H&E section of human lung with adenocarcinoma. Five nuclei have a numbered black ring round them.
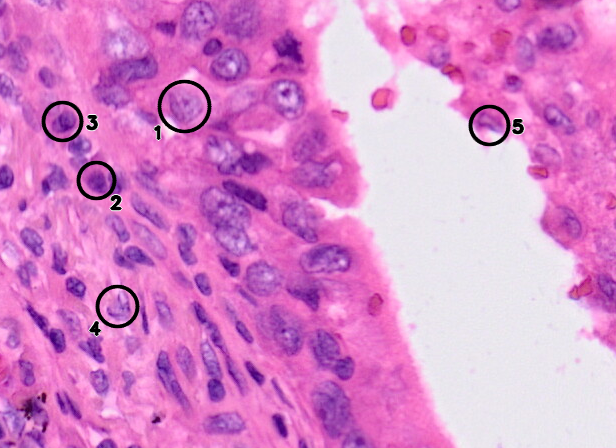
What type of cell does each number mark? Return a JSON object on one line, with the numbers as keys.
{"1": "carcinoma cell", "2": "plasma cell", "3": "plasma cell", "4": "fibroblast", "5": "macrophage or monocyte"}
